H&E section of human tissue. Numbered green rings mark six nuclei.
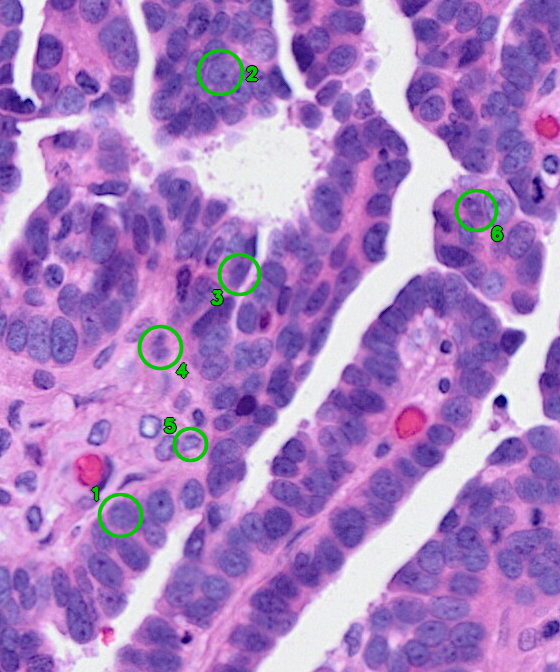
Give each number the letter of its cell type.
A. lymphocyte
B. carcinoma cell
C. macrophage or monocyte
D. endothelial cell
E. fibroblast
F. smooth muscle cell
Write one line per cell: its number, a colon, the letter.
1: B
2: B
3: B
4: C
5: E
6: B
